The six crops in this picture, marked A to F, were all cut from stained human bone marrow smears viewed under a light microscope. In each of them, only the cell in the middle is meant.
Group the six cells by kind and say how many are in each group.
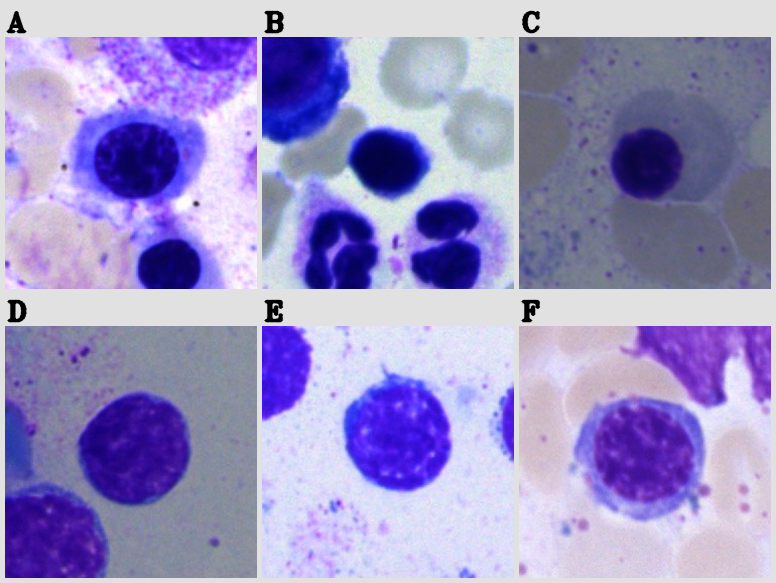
erythroblast: 3
lymphocyte: 3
